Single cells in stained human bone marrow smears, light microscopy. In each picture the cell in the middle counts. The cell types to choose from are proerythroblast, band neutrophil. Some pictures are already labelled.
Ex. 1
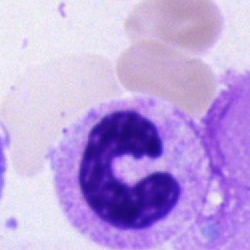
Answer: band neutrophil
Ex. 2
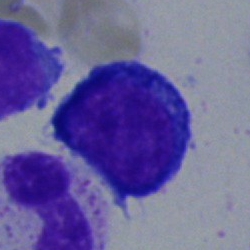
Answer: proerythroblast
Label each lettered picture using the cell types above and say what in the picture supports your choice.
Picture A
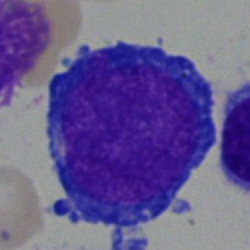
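proerythroblast. Evidence: The cytoplasm forms only a thin rim around the nucleus.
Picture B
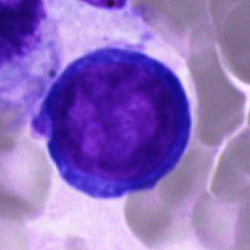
proerythroblast. Evidence: The cytoplasm forms a thin deep blue rim around the nucleus.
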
